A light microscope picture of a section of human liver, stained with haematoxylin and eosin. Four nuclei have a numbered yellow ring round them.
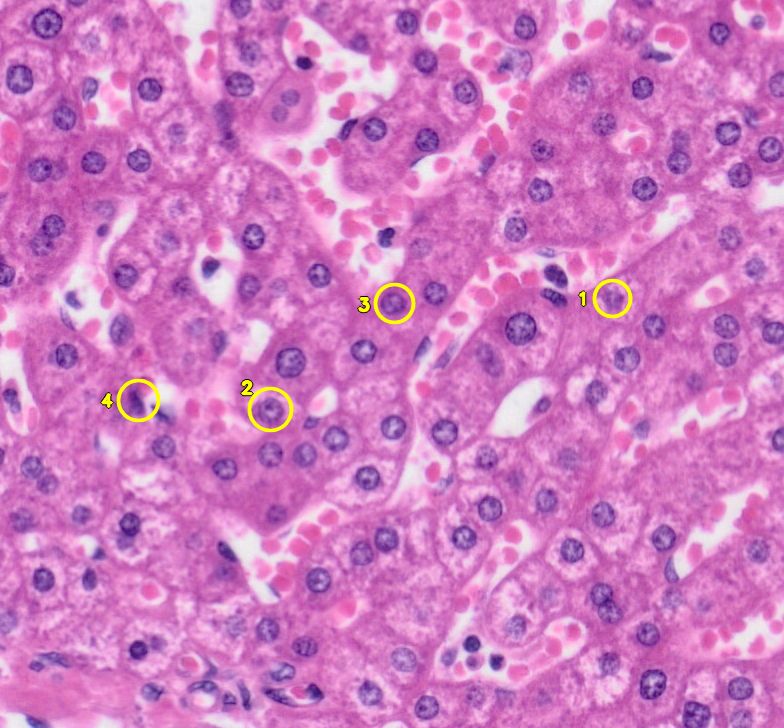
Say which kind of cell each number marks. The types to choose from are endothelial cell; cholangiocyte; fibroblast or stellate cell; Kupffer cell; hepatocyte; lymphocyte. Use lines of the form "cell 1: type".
cell 1: hepatocyte
cell 2: hepatocyte
cell 3: hepatocyte
cell 4: fibroblast or stellate cell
